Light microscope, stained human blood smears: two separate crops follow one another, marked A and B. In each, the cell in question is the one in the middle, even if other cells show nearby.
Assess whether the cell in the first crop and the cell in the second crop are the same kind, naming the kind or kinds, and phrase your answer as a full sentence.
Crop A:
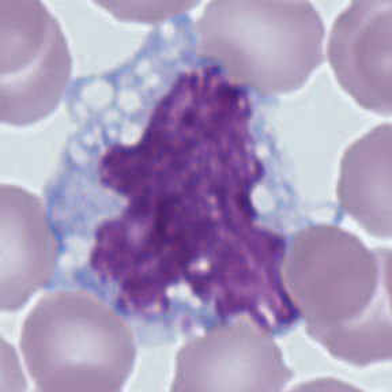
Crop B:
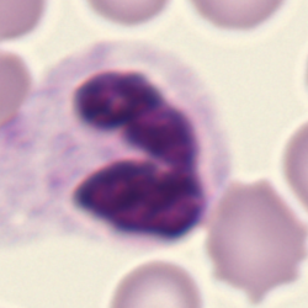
No, crop A captures a monocyte, and crop B captures a neutrophil.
